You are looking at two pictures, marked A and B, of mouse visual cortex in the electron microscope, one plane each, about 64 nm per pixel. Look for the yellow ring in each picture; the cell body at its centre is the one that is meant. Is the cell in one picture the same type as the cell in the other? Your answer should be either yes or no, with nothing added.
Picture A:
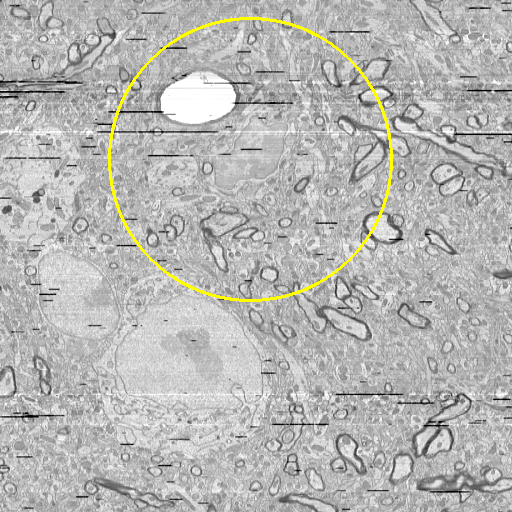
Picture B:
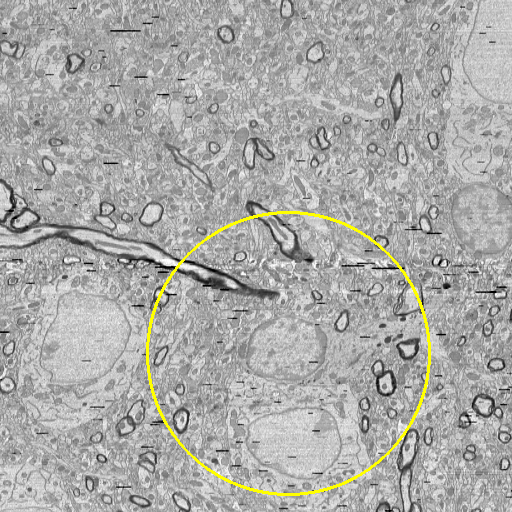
no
